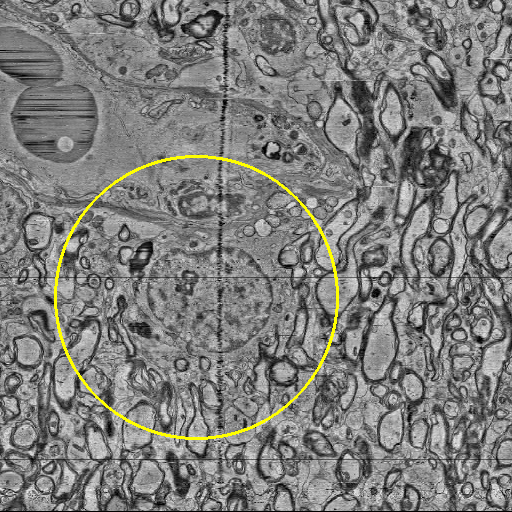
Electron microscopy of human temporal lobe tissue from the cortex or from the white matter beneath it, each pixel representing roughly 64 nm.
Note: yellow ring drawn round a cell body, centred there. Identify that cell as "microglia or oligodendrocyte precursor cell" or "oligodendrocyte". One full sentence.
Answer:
The cell in the middle of the ring is an oligodendrocyte.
